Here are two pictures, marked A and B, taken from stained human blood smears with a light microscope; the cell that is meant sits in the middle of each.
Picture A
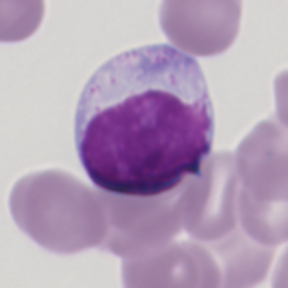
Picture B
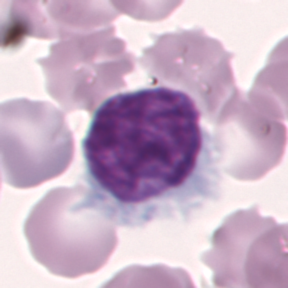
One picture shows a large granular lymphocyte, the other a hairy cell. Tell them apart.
A: large granular lymphocyte
B: hairy cell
